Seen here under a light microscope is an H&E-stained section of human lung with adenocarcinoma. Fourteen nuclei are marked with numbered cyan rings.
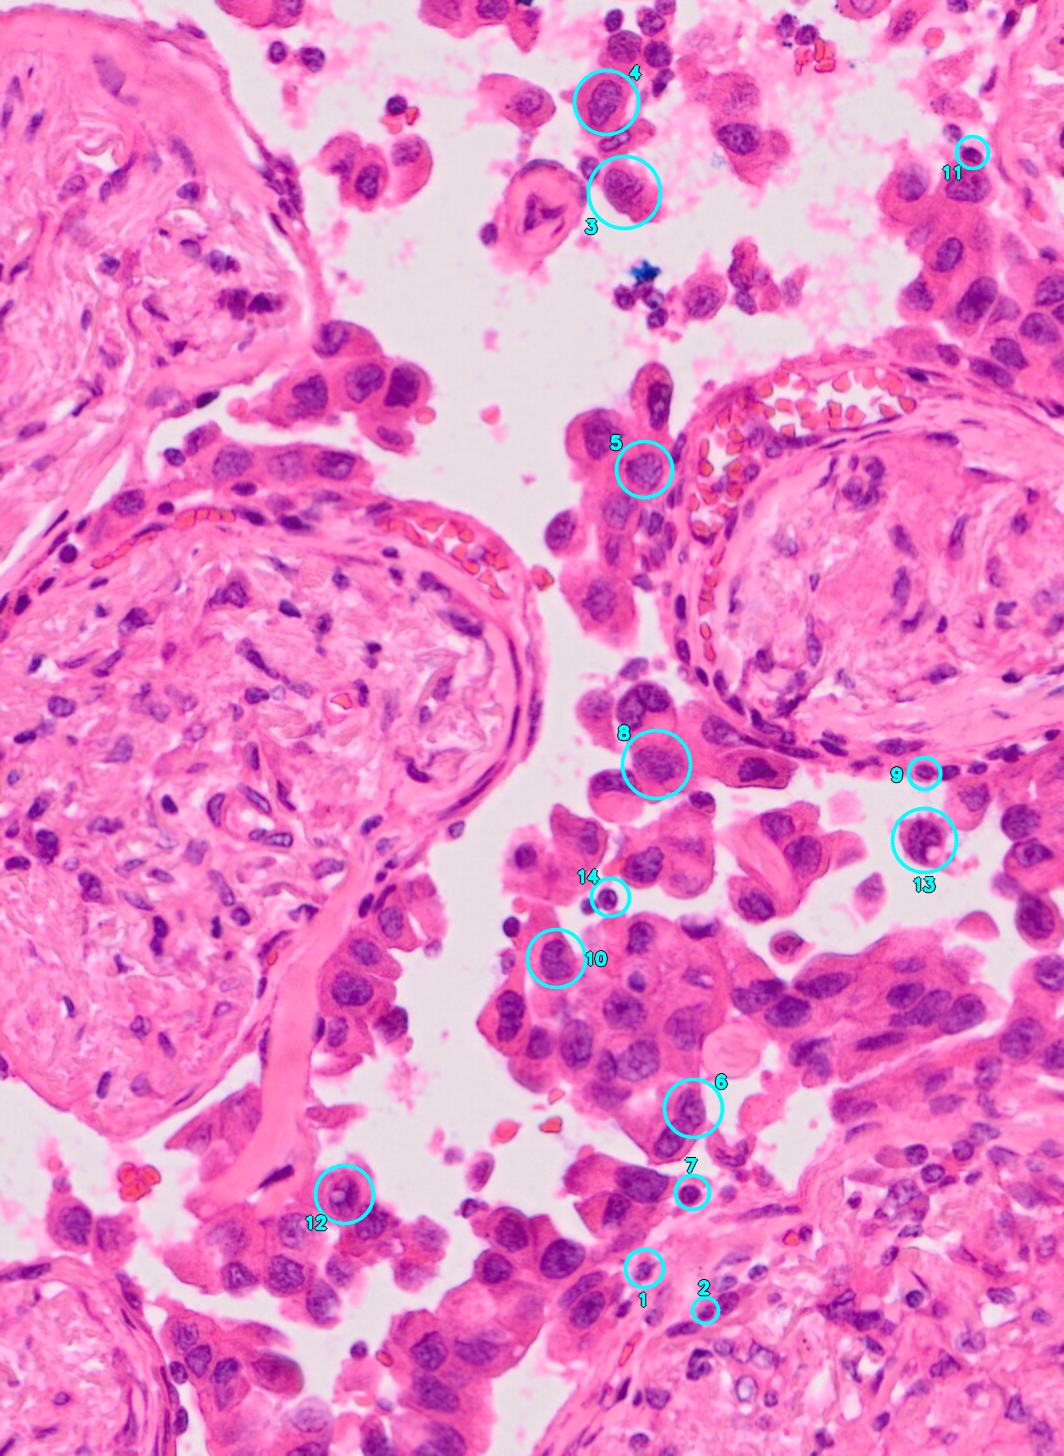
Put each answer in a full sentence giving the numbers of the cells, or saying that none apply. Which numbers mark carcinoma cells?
The cells marked by the numbers 3, 4, 5, 6, 8, 10, 12 and 13 are carcinoma cells.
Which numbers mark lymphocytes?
When it comes to cells 1, 7, 9, 11 and 14, they are lymphocytes.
